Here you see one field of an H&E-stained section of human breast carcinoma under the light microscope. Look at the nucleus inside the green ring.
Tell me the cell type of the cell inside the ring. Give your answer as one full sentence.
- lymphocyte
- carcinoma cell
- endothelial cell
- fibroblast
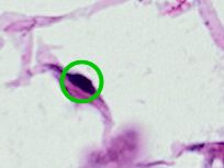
Typologically, the cell inside the ring is an endothelial cell in this section.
